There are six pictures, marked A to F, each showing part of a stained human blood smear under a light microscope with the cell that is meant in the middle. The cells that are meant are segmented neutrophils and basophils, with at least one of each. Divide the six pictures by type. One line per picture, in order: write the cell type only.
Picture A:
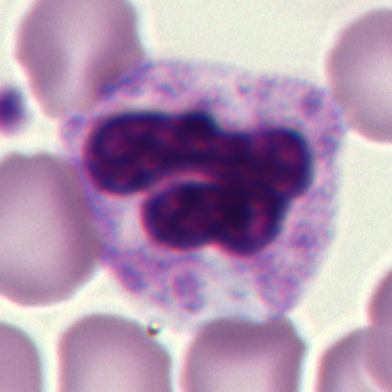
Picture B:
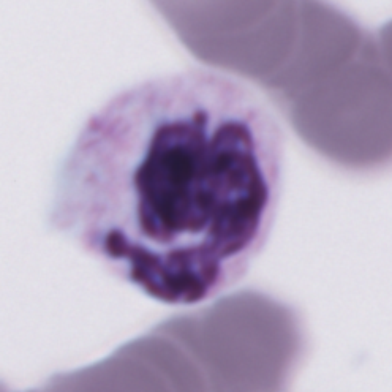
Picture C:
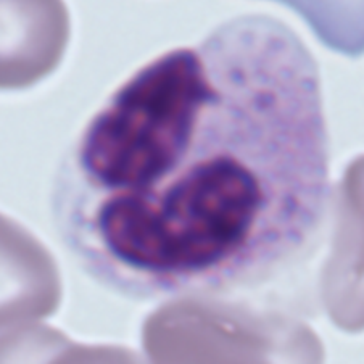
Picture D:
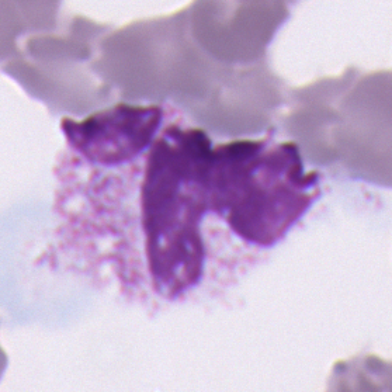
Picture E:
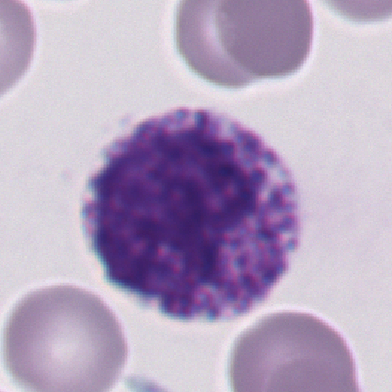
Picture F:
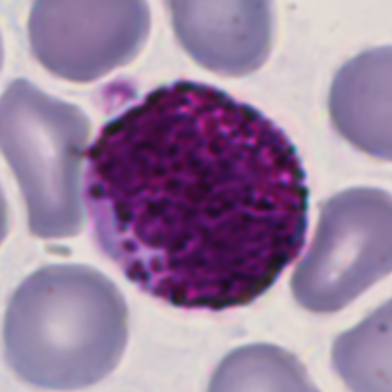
segmented neutrophil
segmented neutrophil
segmented neutrophil
segmented neutrophil
basophil
basophil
